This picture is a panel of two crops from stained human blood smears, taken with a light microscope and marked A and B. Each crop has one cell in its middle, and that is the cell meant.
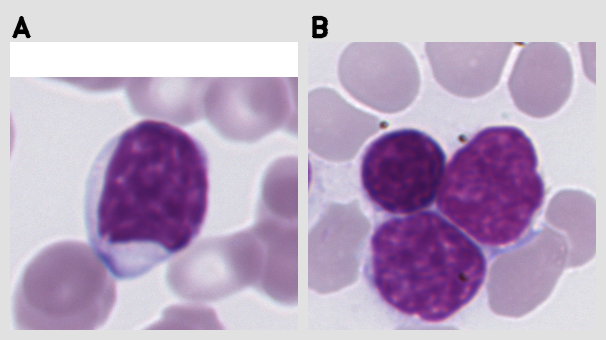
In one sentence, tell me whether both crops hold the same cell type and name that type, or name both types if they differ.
No, the middle of crop A shows a large granular lymphocyte, and the middle of crop B shows a myeloblast.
